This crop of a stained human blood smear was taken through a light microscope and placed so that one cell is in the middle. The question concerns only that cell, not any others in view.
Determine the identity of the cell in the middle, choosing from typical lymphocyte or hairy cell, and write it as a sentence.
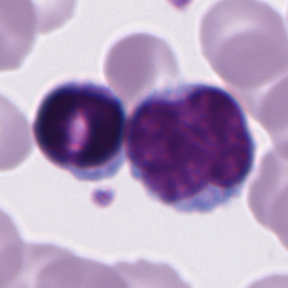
The cell sitting right in the middle is a typical lymphocyte.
